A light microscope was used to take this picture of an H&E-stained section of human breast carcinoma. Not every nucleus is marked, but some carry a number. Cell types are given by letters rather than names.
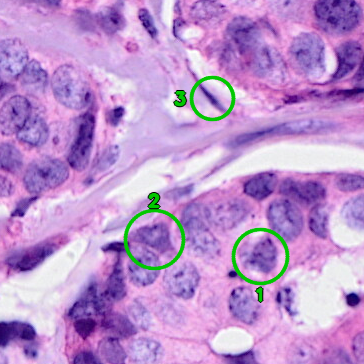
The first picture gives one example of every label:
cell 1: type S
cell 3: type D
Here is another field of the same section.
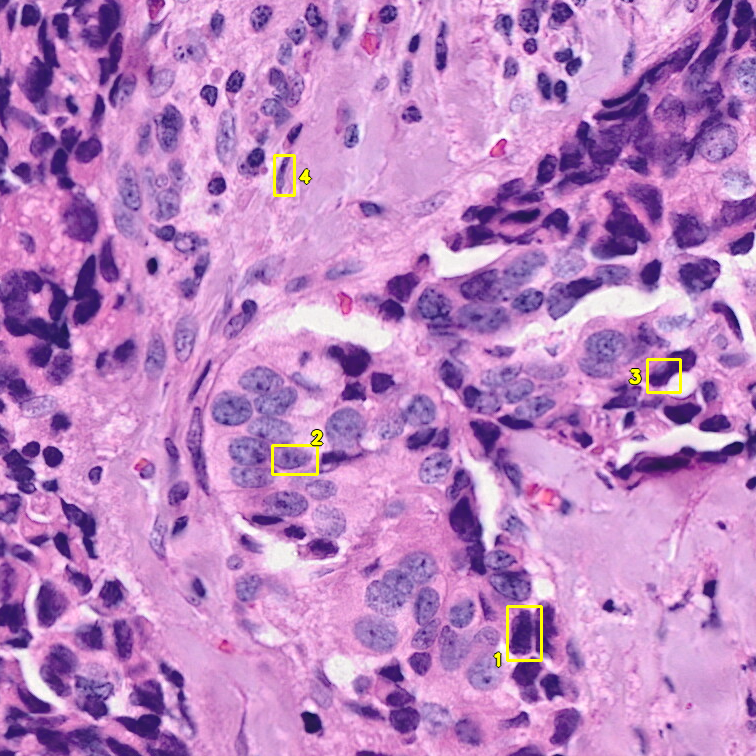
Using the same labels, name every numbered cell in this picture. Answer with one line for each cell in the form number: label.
1: type S
2: type S
3: type S
4: type D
